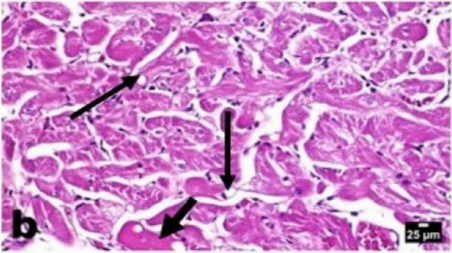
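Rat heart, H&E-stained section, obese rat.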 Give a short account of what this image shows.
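This is cardiac muscle in which the fibers no longer run in orderly parallel rows but are broken into irregular pink fragments of varying size. Wide clear spaces separate the fragments, and small dark nuclei lie scattered among them. Some fragments stain a deeper, smoother pink than the rest. Together this reads as marked degeneration of the myofibers with loss of their normal arrangement.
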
